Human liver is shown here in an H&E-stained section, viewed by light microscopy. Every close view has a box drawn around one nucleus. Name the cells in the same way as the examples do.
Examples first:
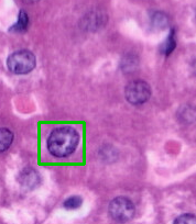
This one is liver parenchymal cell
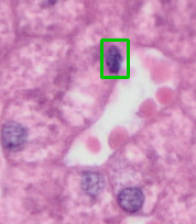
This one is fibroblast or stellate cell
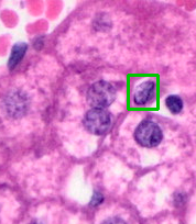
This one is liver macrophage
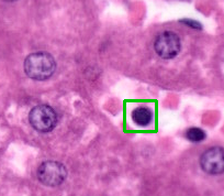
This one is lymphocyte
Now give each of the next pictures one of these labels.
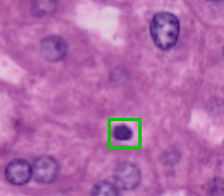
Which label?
lymphocyte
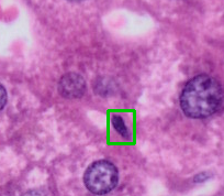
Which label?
fibroblast or stellate cell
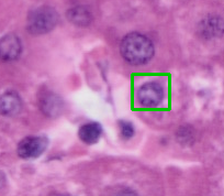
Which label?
liver parenchymal cell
